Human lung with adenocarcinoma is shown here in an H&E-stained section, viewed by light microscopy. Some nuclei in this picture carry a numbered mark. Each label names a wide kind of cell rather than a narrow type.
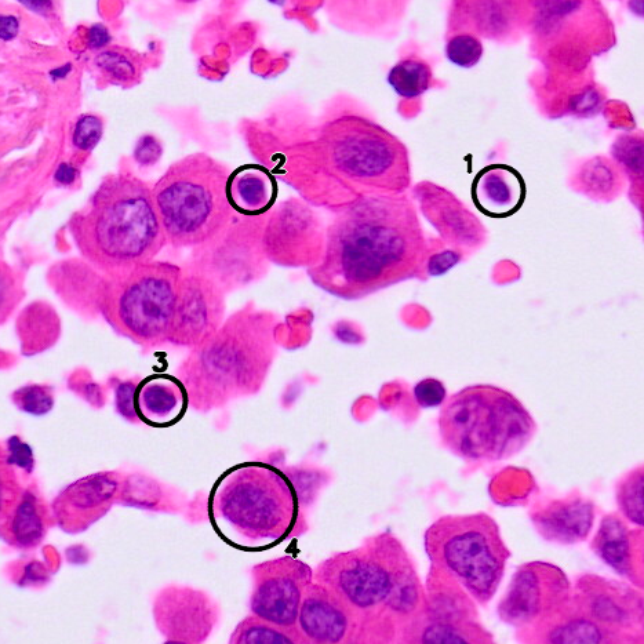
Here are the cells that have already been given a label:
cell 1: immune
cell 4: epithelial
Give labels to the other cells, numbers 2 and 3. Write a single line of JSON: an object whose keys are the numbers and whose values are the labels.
{"2": "immune", "3": "immune"}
